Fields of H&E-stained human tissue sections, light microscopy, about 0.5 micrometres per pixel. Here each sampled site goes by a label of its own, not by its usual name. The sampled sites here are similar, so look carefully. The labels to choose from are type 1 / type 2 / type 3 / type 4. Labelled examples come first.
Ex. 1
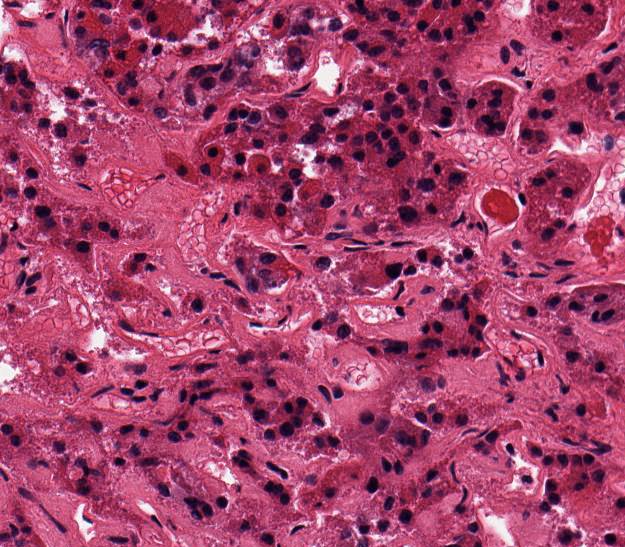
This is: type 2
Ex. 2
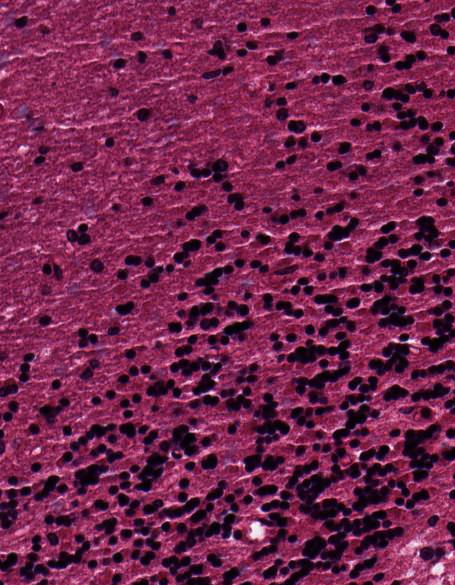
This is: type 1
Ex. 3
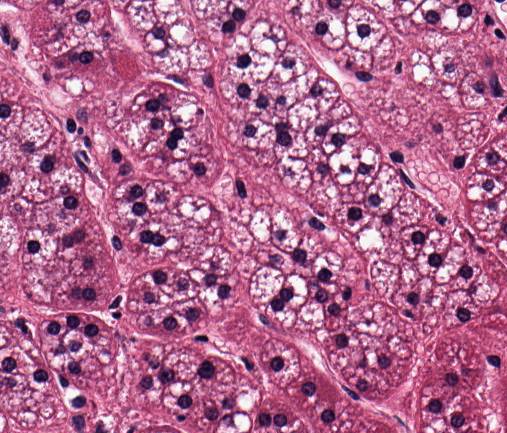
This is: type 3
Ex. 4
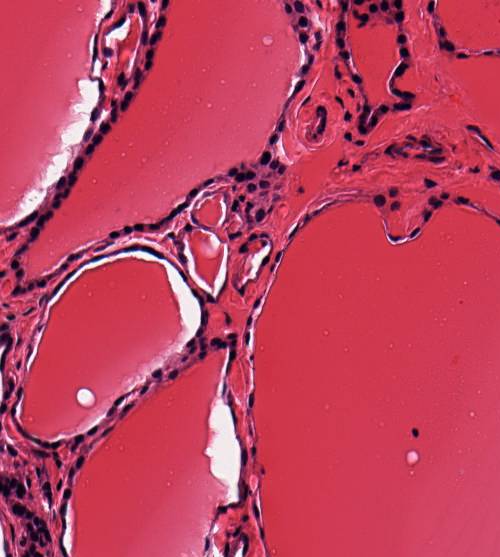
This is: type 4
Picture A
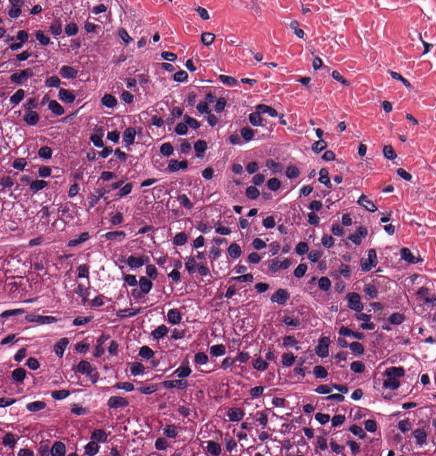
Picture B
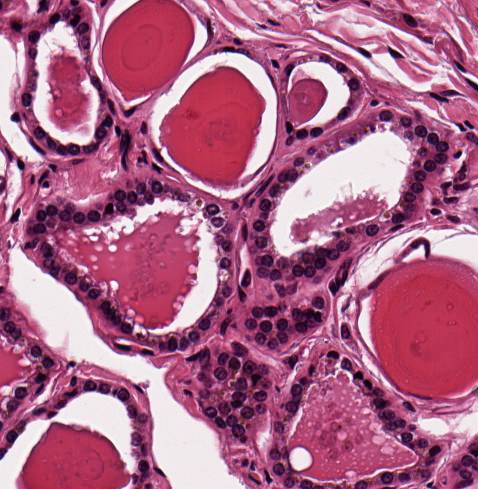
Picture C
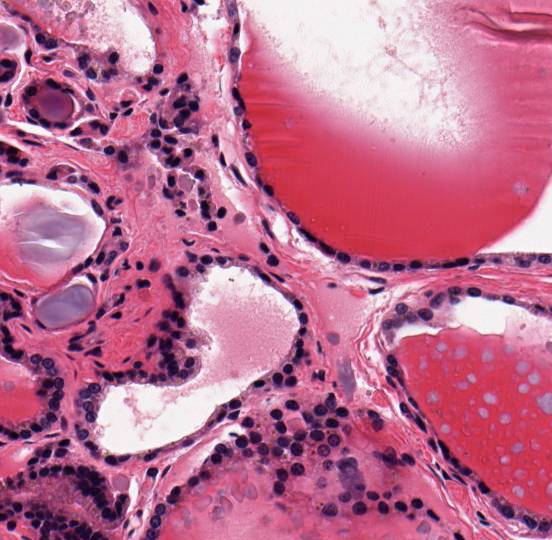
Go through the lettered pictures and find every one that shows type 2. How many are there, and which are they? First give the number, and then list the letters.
0, none of them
